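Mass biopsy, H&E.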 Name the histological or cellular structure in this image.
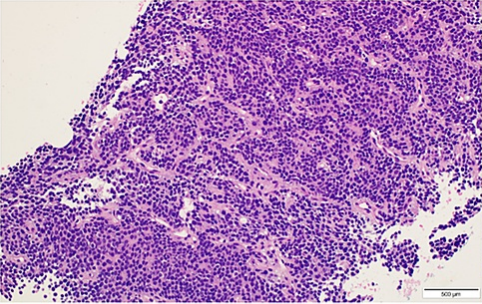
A: stromal fibrous strands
